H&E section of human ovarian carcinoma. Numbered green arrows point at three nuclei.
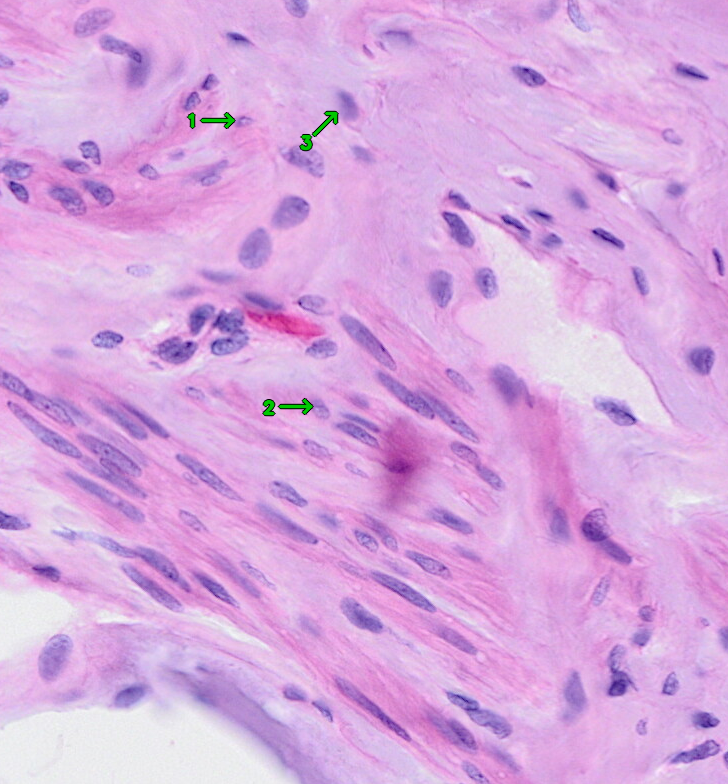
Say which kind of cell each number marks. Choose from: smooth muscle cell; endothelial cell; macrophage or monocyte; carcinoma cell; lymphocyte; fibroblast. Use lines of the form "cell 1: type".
cell 1: smooth muscle cell
cell 2: smooth muscle cell
cell 3: fibroblast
